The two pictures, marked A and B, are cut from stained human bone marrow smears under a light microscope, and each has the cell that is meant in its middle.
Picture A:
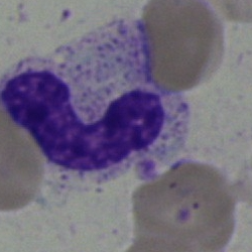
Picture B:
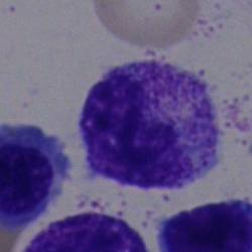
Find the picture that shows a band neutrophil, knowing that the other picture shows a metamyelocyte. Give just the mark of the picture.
A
